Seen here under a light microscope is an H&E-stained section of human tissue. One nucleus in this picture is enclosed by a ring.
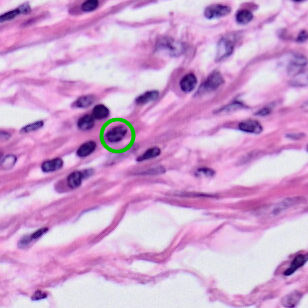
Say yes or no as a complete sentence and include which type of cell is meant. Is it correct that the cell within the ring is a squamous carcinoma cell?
No, not quite: the cell within the ring is a plasma cell rather than a squamous carcinoma cell.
